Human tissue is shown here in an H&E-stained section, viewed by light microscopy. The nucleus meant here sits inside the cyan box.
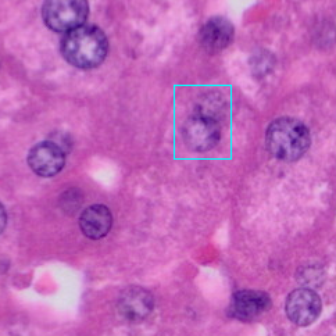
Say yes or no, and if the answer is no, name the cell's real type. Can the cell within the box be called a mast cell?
No, it is a hepatocyte.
